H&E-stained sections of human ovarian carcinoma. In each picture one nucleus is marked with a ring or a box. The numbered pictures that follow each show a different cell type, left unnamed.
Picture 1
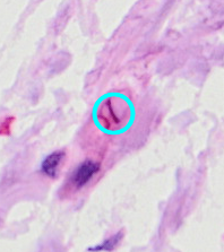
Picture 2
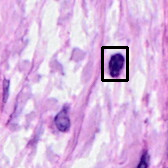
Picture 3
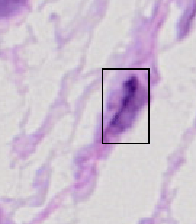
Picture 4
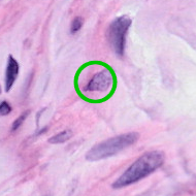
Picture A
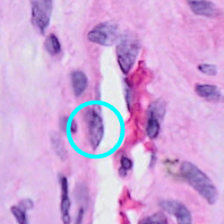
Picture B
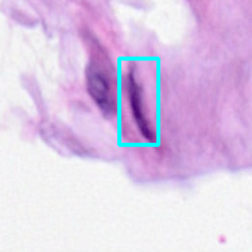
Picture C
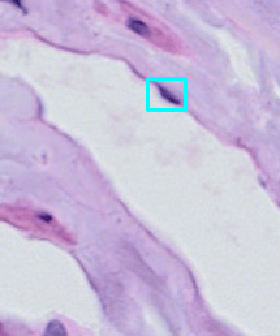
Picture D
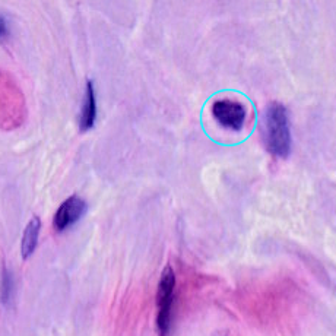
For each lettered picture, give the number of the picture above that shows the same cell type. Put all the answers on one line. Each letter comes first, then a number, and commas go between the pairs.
A 1, B 1, C 1, D 2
